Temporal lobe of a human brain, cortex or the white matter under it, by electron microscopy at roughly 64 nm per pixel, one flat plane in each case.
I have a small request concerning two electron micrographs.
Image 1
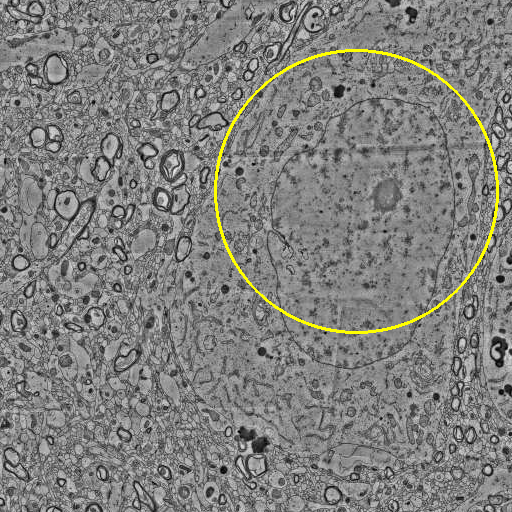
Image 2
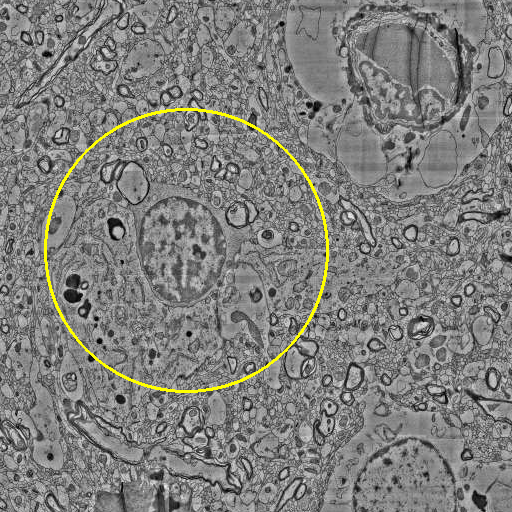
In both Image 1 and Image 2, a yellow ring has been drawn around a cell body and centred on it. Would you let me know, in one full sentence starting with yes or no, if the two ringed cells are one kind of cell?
No, the cells ringed in Image 1 and Image 2 are two kinds of cell.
